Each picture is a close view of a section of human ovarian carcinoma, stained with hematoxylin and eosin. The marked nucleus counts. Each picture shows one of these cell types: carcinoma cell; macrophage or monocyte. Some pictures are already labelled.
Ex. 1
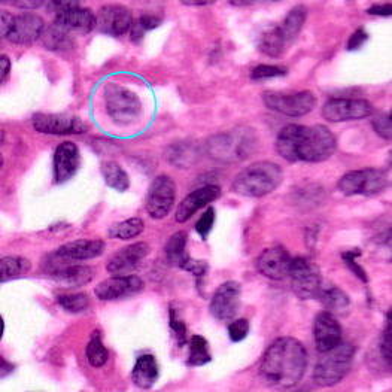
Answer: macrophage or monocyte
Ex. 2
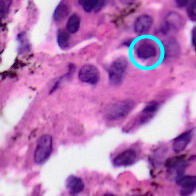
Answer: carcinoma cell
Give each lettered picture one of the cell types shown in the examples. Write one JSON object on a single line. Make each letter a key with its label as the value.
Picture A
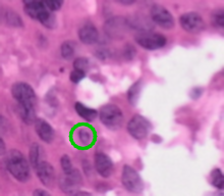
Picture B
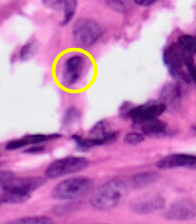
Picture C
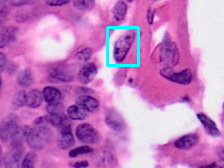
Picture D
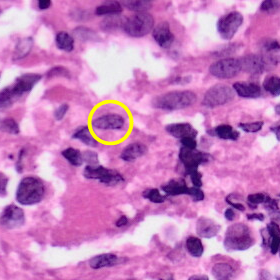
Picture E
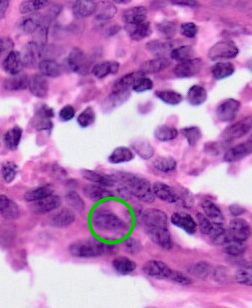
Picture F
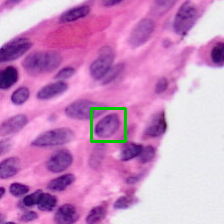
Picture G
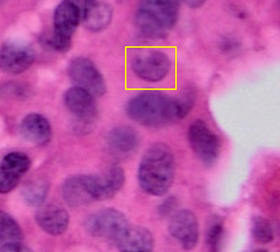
{"A": "macrophage or monocyte", "B": "macrophage or monocyte", "C": "macrophage or monocyte", "D": "macrophage or monocyte", "E": "carcinoma cell", "F": "macrophage or monocyte", "G": "carcinoma cell"}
